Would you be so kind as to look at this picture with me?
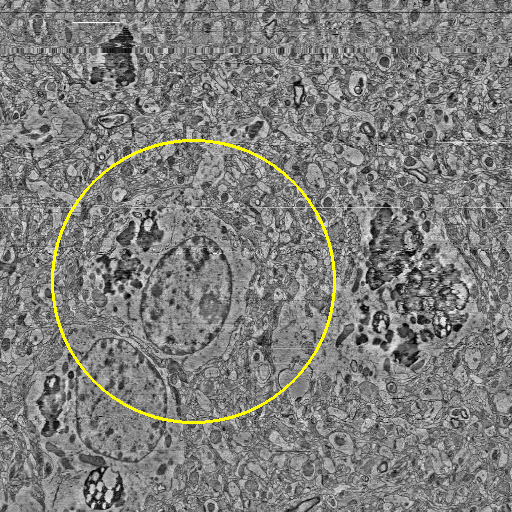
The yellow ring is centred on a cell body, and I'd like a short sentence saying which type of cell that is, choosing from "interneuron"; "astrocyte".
The cell body in the ring belongs to an astrocyte.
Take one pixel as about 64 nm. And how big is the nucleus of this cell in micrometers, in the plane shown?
About 8 by 6 micrometres in this plane.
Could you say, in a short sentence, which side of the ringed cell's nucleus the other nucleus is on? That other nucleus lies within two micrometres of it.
That other nucleus lies to the lower left of it.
